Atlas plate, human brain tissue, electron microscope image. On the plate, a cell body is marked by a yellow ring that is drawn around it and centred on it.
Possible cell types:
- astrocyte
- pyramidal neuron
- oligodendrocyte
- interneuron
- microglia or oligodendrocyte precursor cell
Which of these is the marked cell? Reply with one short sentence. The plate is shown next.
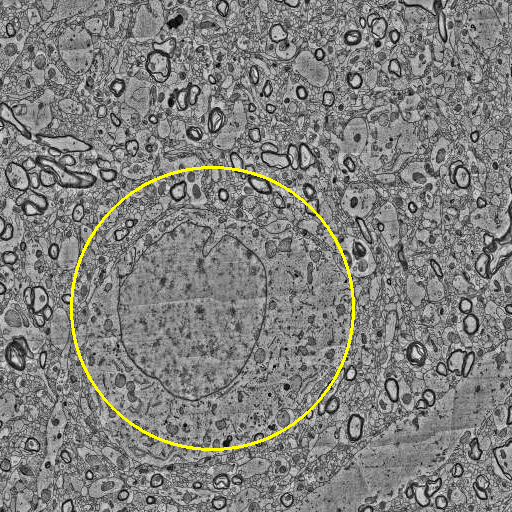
The marked cell is a pyramidal neuron.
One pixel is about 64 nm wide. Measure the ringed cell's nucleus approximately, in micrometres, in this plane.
The nucleus appears about 11 micrometres across in this plane.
